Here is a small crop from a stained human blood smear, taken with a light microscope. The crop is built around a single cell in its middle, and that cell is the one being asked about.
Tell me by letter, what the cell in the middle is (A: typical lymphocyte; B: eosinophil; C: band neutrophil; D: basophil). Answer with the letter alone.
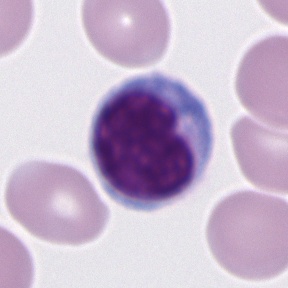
A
